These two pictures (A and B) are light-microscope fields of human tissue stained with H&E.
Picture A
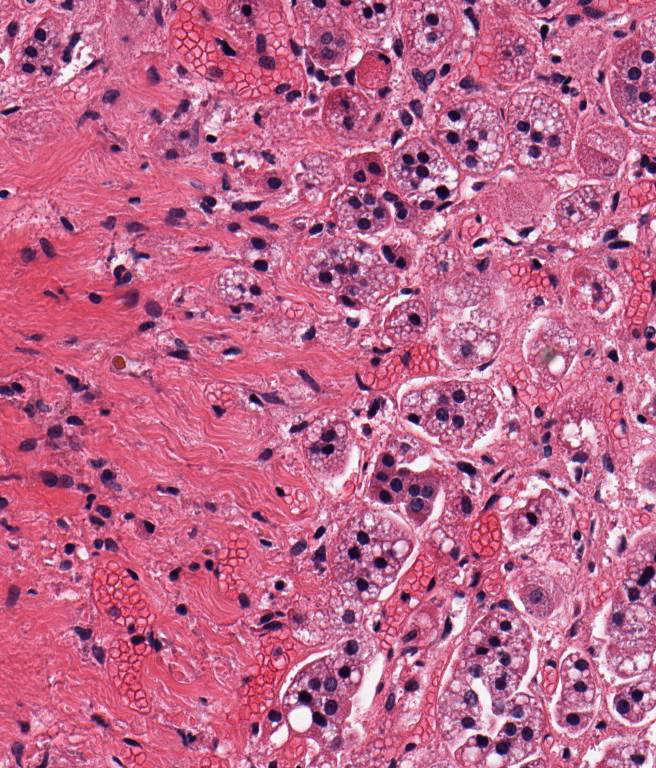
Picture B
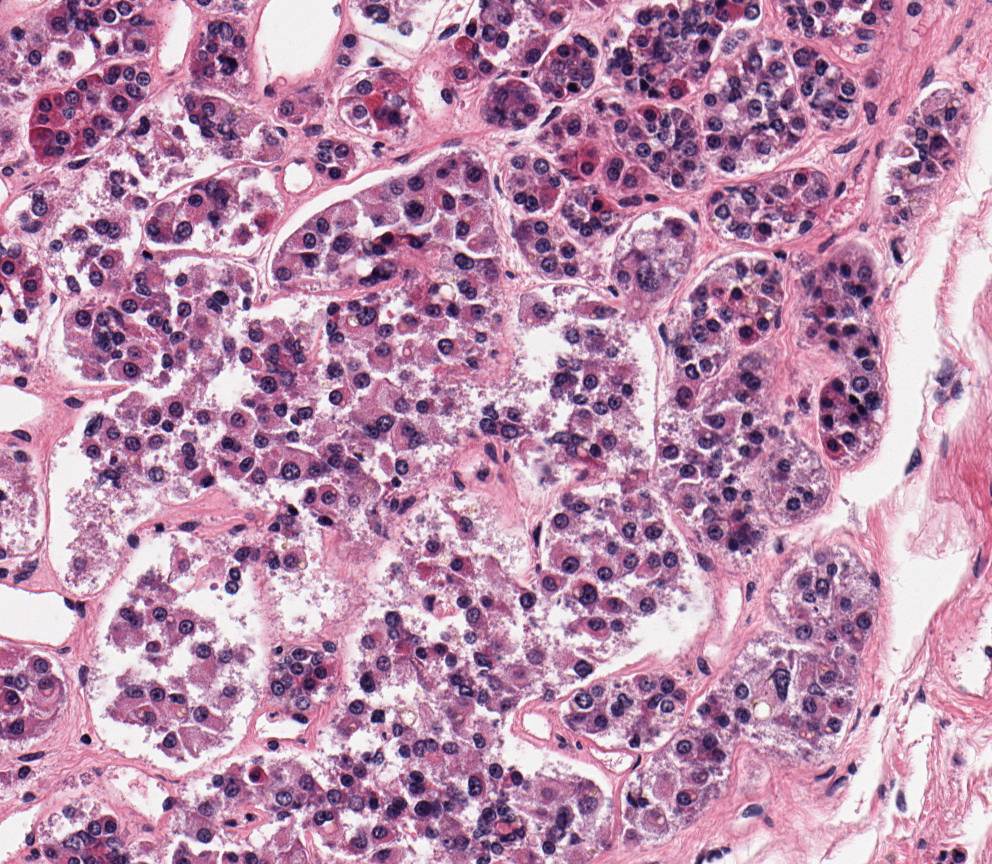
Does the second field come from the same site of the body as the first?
no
